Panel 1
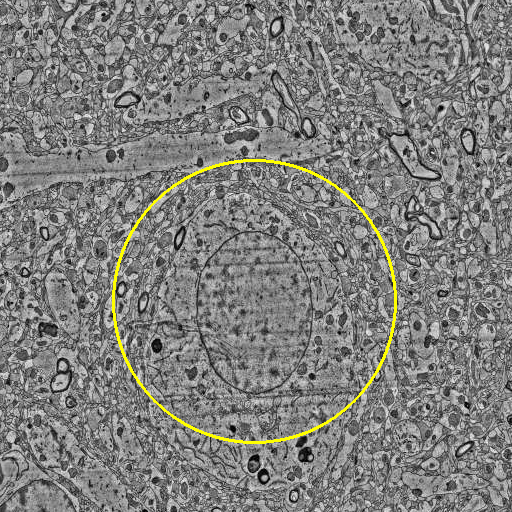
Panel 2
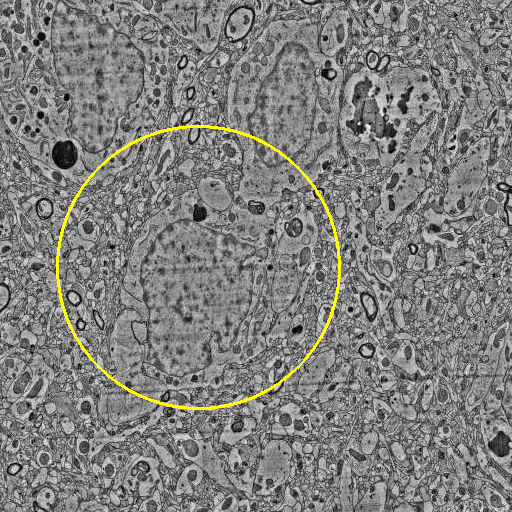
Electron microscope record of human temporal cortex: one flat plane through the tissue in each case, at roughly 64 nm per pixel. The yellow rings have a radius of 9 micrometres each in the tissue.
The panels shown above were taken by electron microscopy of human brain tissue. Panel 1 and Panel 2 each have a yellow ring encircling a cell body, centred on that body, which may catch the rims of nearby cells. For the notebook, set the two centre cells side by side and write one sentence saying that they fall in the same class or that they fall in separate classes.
The centred cells of Panel 1 and Panel 2 fall in separate classes.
